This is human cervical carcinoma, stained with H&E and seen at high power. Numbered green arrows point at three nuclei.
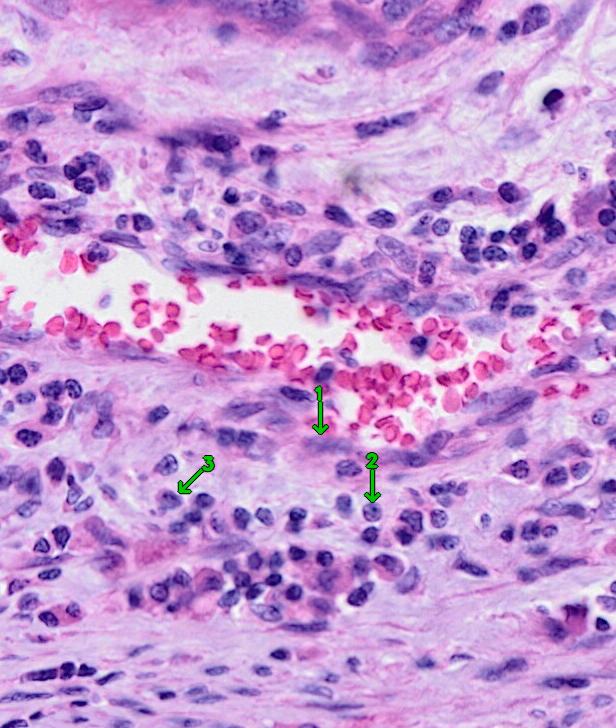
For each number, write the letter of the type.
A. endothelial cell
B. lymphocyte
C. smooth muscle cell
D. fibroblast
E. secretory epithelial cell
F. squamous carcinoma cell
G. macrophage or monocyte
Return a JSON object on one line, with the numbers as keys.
{"1": "A", "2": "B", "3": "B"}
